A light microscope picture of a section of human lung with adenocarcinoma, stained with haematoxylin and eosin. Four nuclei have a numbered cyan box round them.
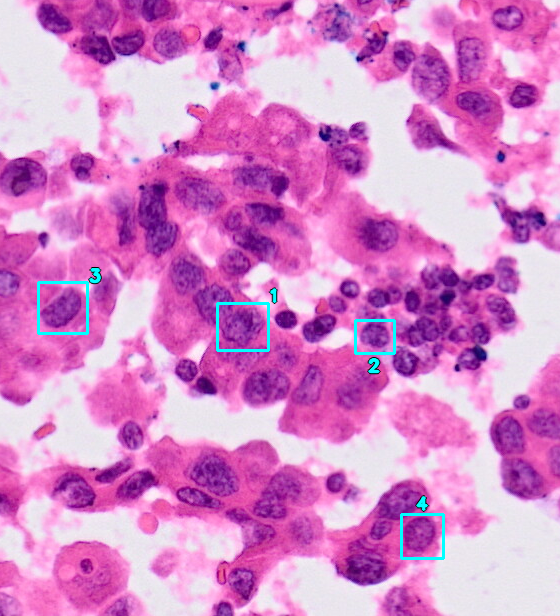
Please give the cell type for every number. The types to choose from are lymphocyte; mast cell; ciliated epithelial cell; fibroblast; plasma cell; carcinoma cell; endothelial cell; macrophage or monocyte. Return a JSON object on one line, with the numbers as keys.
{"1": "carcinoma cell", "2": "lymphocyte", "3": "carcinoma cell", "4": "carcinoma cell"}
